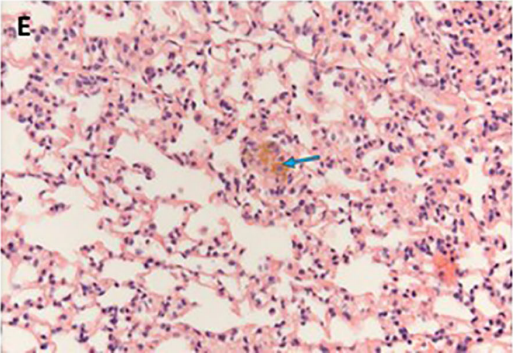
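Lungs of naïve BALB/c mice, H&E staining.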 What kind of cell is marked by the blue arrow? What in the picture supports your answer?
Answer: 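The arrowed cluster contains golden-brown granular pigment in cell cytoplasm. The cluster sits in thickened lung septal tissue among small dark nuclei. On this evidence: pigment laden macrophages.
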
